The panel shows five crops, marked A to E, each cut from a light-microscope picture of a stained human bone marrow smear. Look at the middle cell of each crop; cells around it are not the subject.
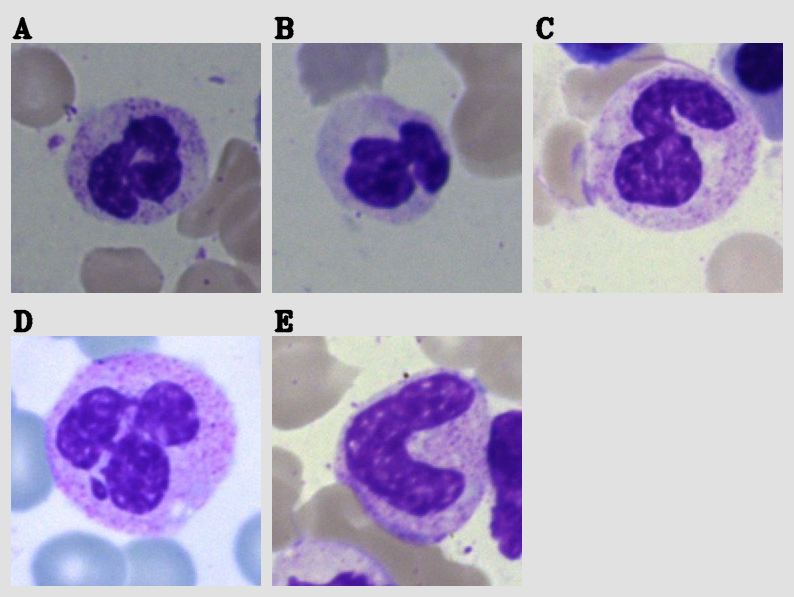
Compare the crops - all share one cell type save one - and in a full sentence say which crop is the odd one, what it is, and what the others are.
Apart from crop E, which shows a band neutrophil, every crop shows segmented neutrophils.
